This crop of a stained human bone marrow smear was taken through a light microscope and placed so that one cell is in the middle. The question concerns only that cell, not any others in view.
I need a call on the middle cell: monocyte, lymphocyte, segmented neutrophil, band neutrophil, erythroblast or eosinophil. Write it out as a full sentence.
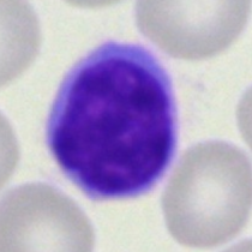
At the center of the crop sits a lymphocyte.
